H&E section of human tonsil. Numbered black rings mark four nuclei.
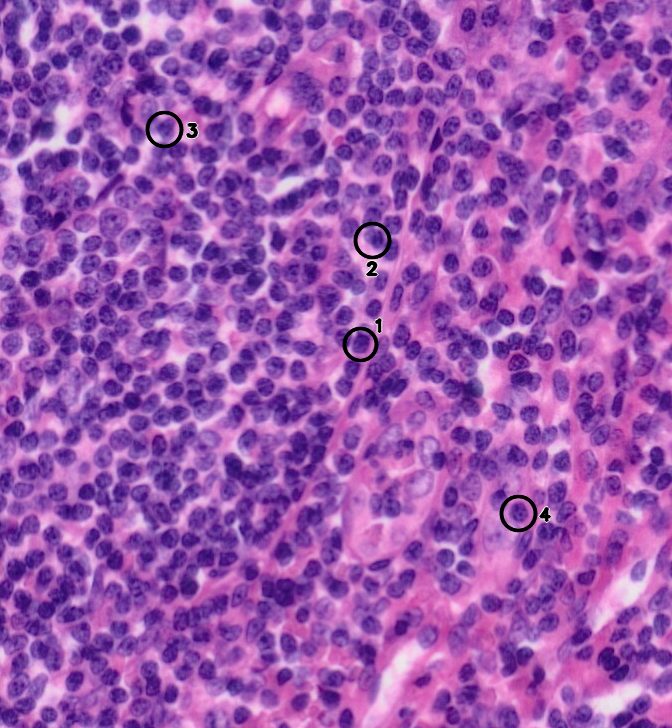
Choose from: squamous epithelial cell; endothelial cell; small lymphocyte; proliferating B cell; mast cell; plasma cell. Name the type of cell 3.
small lymphocyte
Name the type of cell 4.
endothelial cell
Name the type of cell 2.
small lymphocyte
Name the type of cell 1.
small lymphocyte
